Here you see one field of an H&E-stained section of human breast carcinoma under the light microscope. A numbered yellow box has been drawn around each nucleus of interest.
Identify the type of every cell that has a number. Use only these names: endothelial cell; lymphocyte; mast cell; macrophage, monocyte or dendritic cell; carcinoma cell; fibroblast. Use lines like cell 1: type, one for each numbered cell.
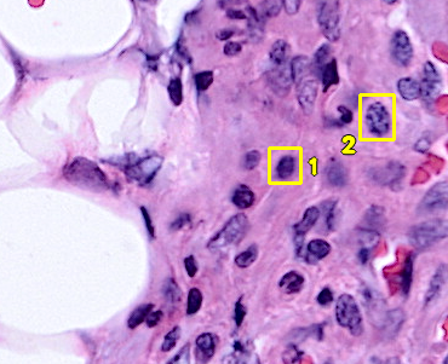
cell 1: lymphocyte
cell 2: mast cell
